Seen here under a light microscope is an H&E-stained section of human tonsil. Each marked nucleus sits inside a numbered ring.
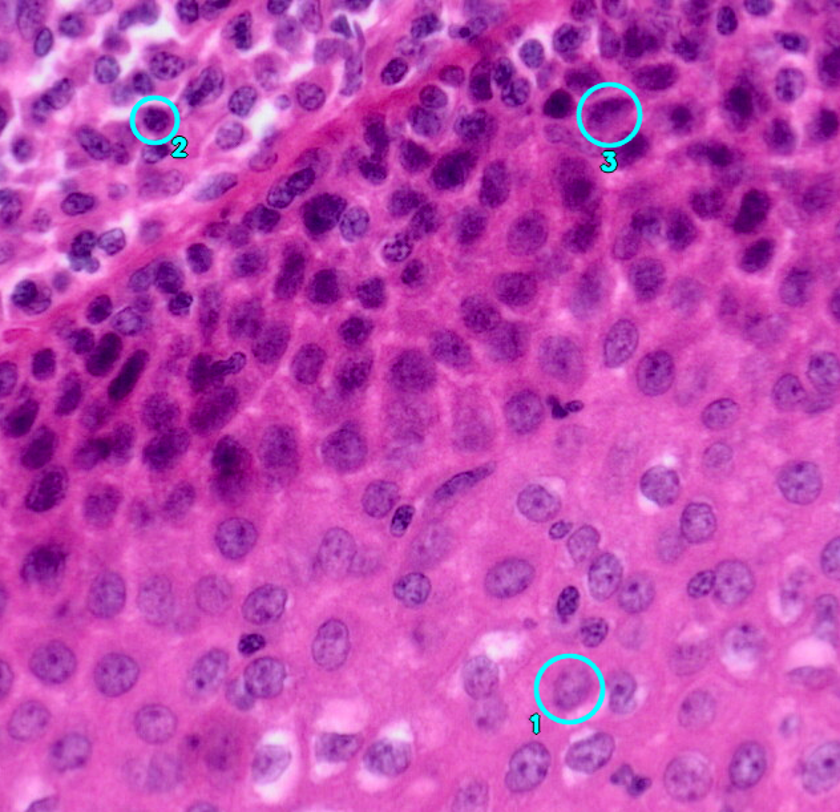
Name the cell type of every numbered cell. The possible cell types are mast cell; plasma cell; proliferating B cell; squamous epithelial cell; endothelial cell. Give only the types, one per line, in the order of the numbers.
squamous epithelial cell
plasma cell
squamous epithelial cell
